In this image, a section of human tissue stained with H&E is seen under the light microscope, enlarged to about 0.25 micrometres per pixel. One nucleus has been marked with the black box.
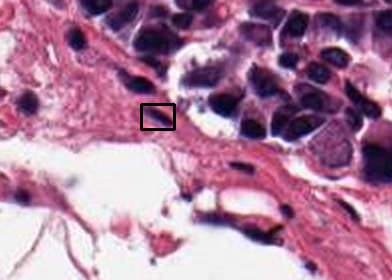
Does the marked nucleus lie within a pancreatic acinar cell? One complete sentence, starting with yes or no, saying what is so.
No, the marked nucleus is not the nucleus of a pancreatic acinar cell but of a supporting cell.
